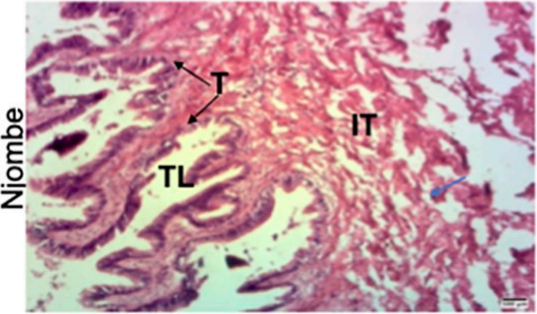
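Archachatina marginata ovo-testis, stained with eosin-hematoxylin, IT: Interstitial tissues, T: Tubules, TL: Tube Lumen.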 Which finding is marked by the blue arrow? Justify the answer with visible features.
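The pink tissue at the arrow is broken into loose, separate strands. Wide clear spaces lie between the fragments of this tissue. So: conjunctive tissue disruption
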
